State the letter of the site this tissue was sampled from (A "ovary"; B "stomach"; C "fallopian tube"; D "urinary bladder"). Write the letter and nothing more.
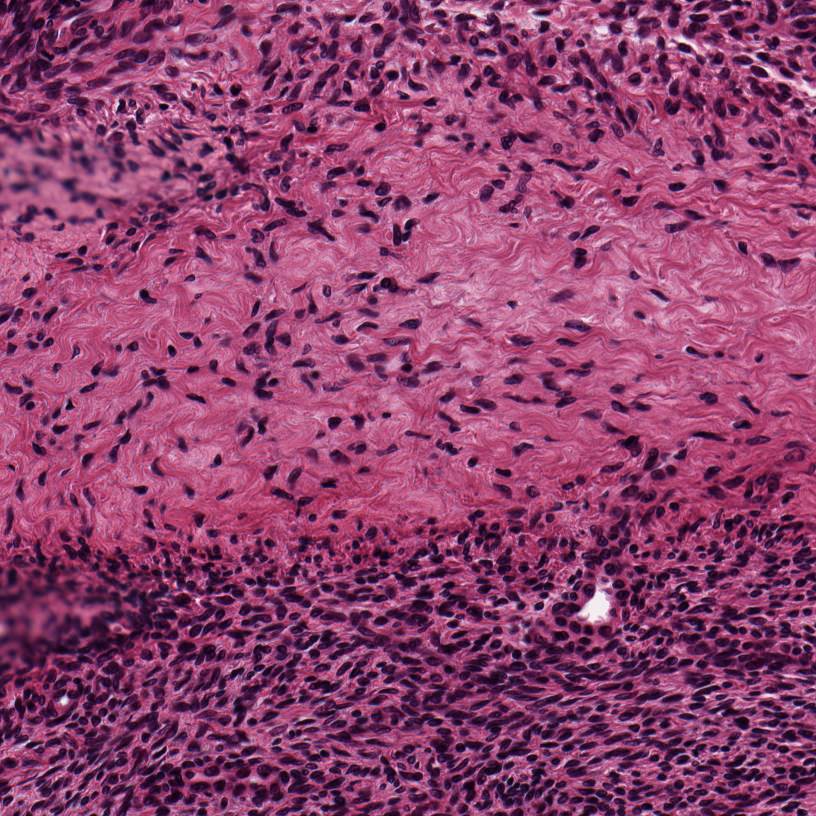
A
